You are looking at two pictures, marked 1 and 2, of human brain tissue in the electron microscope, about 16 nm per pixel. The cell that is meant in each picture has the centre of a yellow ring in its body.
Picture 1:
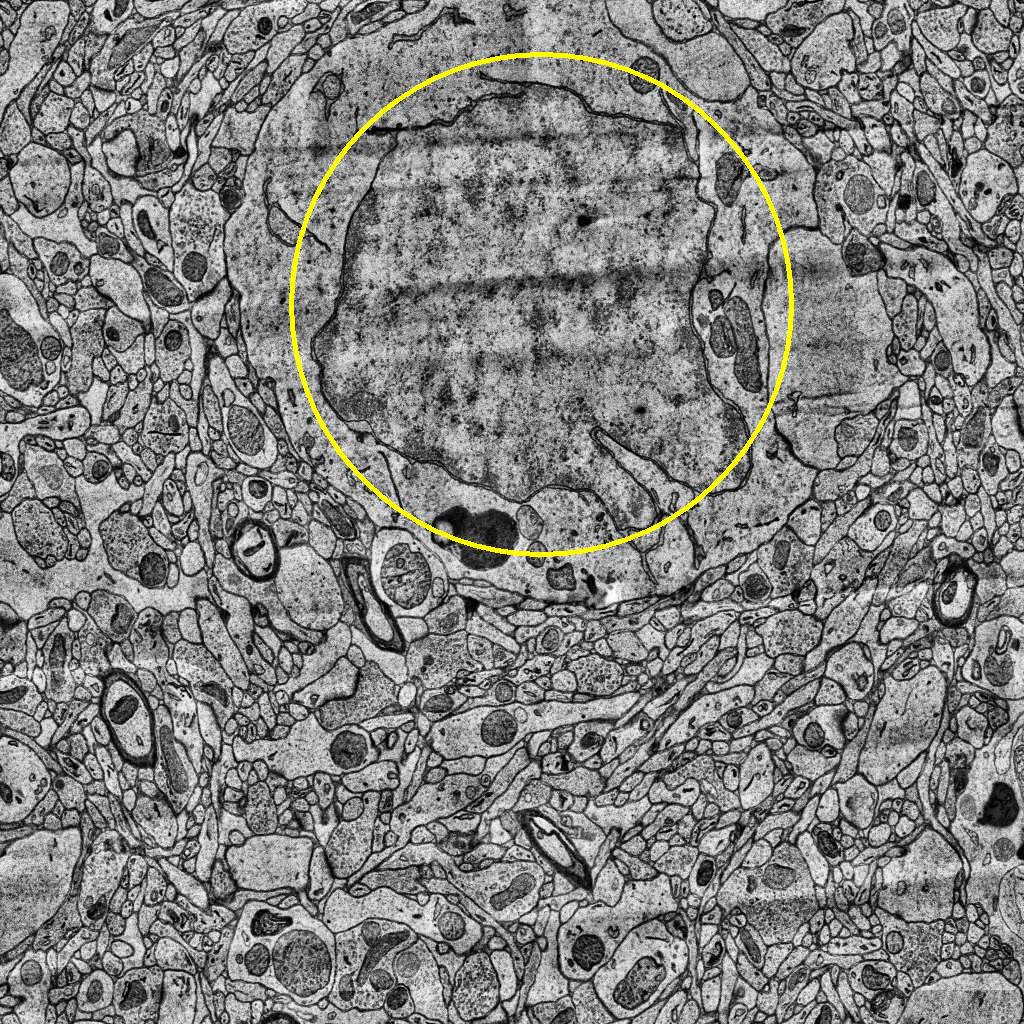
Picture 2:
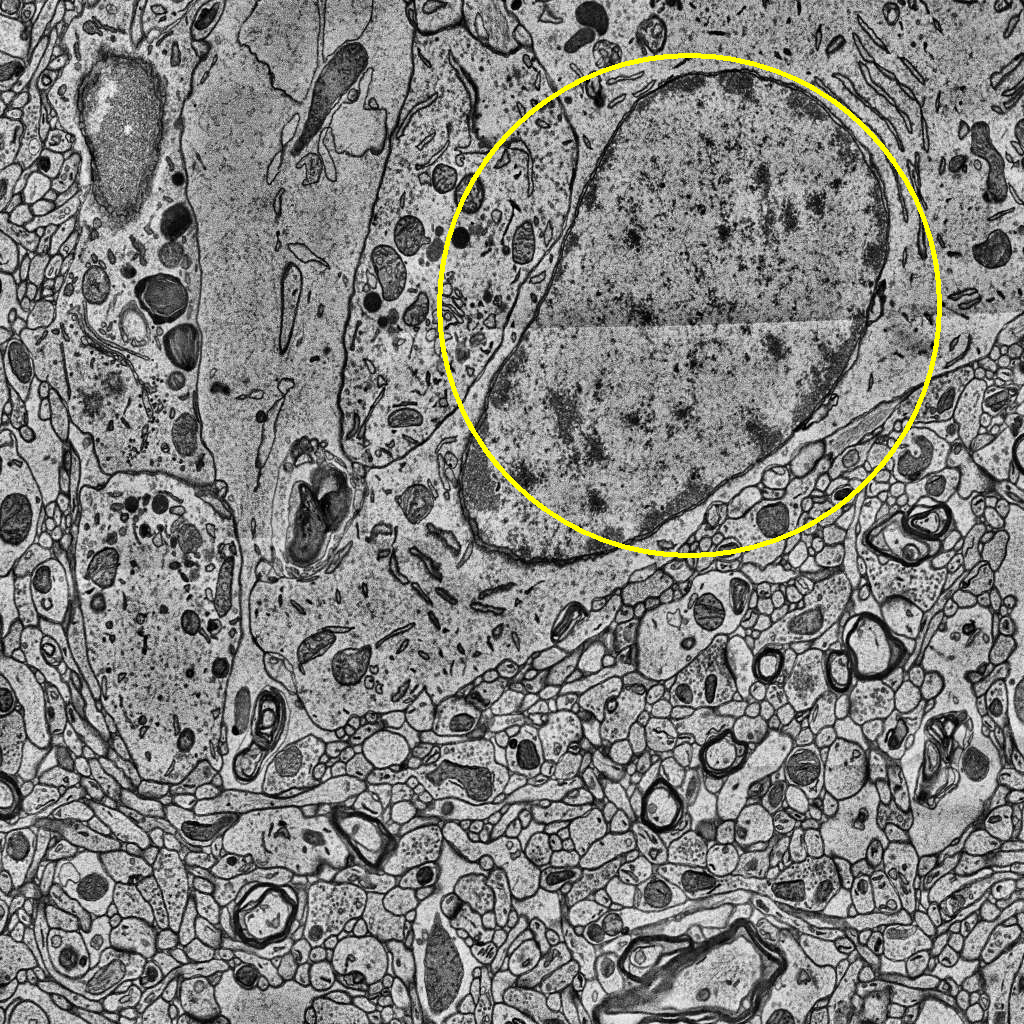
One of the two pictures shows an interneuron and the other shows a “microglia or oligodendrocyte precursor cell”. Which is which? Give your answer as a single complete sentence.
It is picture 1 that shows an interneuron, and picture 2 that shows a “microglia or oligodendrocyte precursor cell”.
